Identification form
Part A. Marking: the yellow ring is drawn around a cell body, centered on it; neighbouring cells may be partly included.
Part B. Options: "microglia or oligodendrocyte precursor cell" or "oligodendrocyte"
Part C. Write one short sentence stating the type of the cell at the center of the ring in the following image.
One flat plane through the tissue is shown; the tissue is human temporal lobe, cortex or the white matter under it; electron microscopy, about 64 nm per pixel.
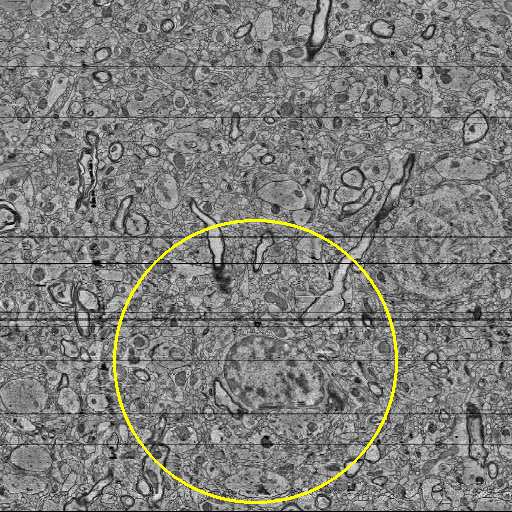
The center of the ring holds an oligodendrocyte.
